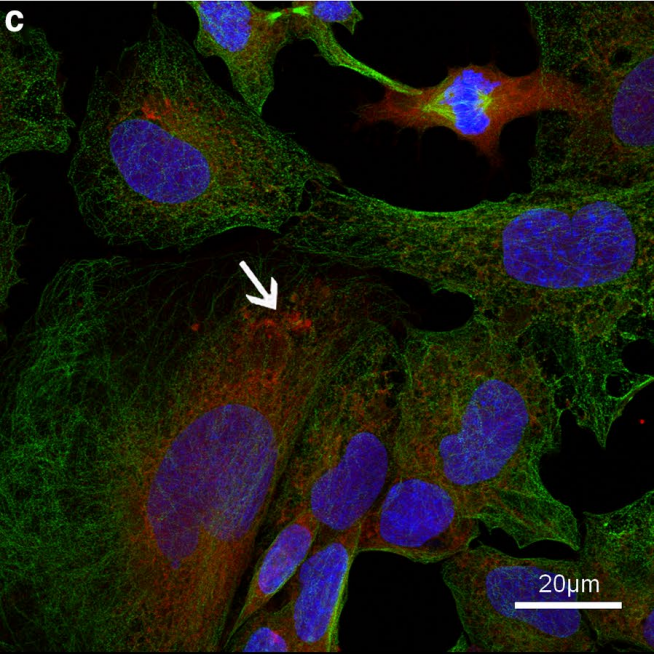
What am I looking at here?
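These are flat, widely spread cultured cells with large oval blue nuclei. Most cells carry little red, but one large cell in the lower part shows a red haze gathered in a zone to one side of its nucleus. Near that zone lies a small cluster of bright red dots. A smaller, compact cell near the top also stands out with strong red around its blue chromatin.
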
